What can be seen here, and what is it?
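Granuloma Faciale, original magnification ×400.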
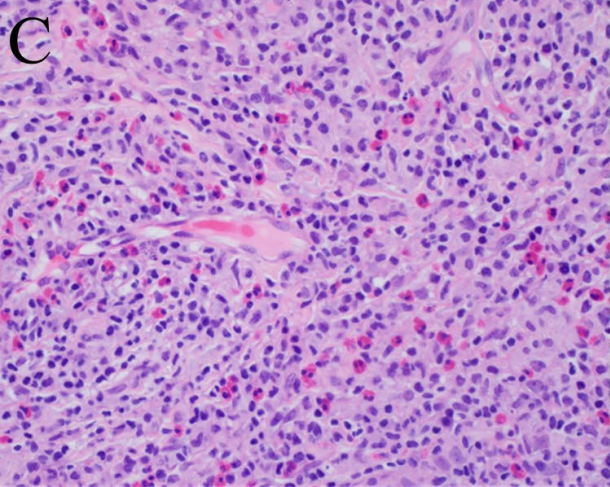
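A dense mixed inflammatory infiltrate fills the dermis in this high-power view. Many cells have bright red-orange granular cytoplasm, scattered throughout among small round cells with dark, compact nuclei. Interspersed are larger cells with oval, paler nuclei and more ample pink cytoplasm, and some cells with lobed nuclei. A small vessel with pink-staining contents runs through the centre of the field. The cells are crowded closely together with little intervening stroma, and a few elongated spindle-shaped nuclei mark the sparse supporting tissue between them.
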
